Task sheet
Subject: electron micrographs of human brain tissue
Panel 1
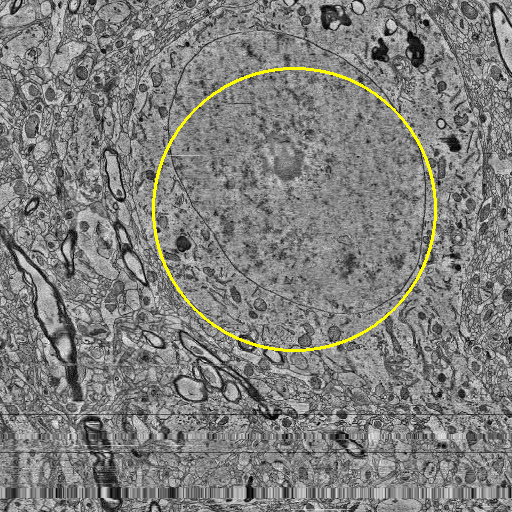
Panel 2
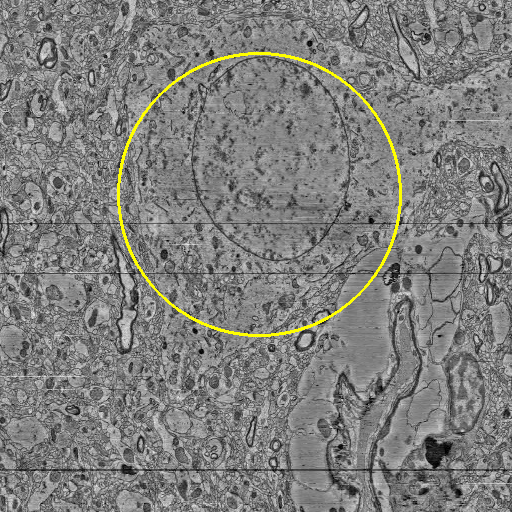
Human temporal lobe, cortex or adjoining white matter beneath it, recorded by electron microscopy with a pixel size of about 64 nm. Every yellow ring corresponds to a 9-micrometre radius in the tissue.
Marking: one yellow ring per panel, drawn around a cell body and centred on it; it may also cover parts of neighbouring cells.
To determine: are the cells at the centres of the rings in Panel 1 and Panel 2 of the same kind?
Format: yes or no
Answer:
yes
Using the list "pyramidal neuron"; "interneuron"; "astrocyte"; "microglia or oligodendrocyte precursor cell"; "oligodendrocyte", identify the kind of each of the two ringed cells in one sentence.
Each of the two rings is centred on a pyramidal neuron.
